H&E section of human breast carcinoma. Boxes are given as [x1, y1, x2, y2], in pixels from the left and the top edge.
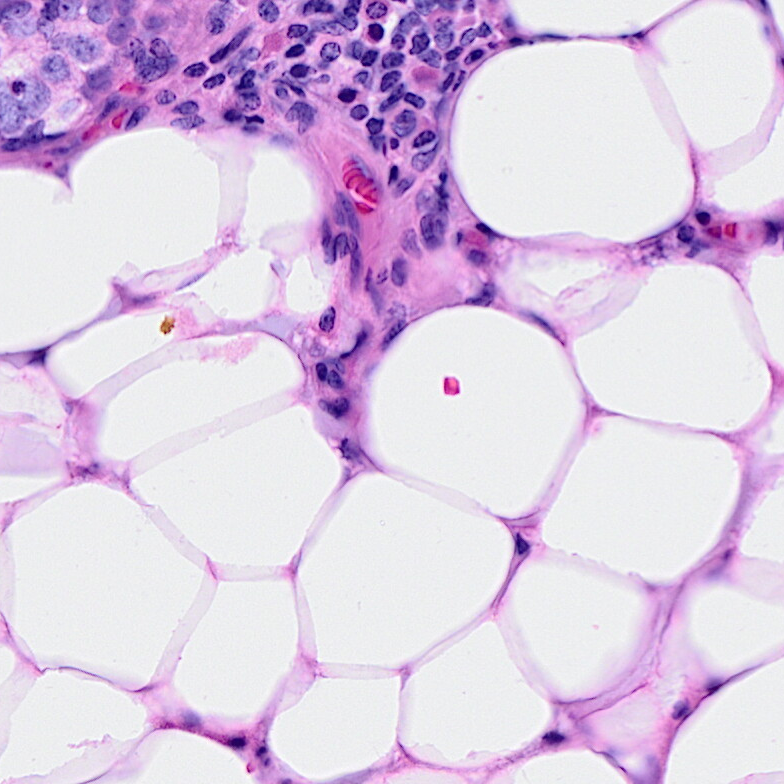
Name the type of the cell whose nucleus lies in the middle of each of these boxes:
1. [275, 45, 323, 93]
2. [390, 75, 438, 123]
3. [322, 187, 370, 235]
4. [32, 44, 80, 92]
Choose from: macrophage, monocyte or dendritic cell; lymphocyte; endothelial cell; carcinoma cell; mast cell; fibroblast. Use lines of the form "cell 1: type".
cell 1: lymphocyte
cell 2: lymphocyte
cell 3: endothelial cell
cell 4: carcinoma cell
